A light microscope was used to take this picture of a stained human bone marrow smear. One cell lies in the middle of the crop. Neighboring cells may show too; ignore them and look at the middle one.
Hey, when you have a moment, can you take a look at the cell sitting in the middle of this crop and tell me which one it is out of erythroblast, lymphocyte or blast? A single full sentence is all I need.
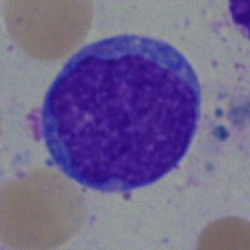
The crop centres on a single cell, and that cell is a blast.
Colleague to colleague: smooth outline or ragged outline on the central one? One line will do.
Smooth all around, the outline has no projections to report.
